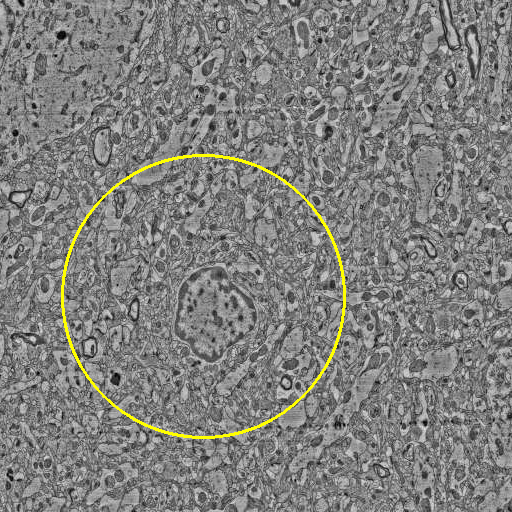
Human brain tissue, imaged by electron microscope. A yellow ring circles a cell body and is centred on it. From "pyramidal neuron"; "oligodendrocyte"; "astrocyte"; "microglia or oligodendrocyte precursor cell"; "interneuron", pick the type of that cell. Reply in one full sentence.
The cell body at the centre of the yellow ring belongs to a microglial cell or oligodendrocyte precursor cell.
